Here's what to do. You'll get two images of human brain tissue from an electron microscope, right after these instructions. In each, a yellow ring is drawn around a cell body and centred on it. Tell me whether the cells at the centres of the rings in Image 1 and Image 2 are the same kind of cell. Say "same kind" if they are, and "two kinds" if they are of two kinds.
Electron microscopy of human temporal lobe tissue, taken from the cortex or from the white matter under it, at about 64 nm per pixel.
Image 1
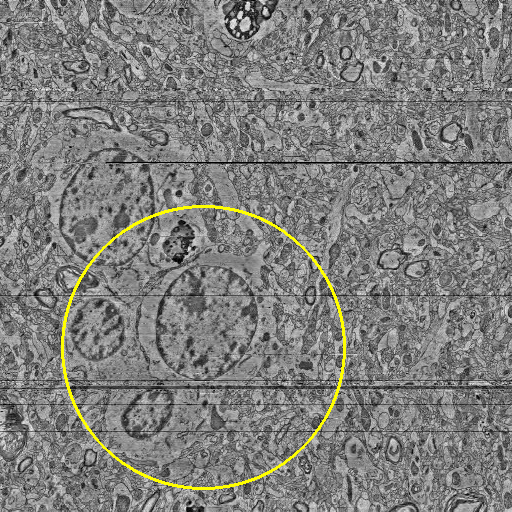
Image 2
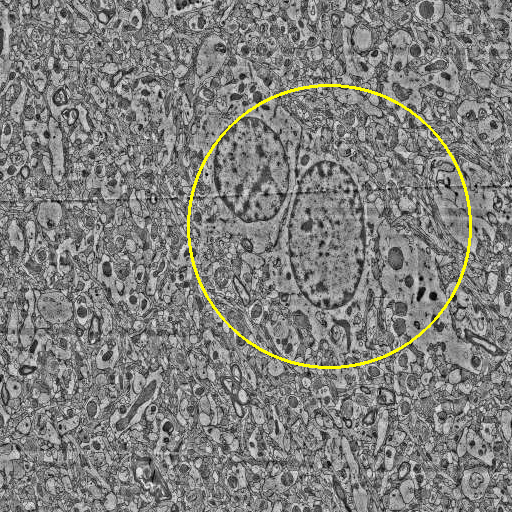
same kind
